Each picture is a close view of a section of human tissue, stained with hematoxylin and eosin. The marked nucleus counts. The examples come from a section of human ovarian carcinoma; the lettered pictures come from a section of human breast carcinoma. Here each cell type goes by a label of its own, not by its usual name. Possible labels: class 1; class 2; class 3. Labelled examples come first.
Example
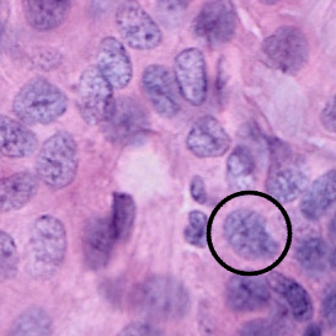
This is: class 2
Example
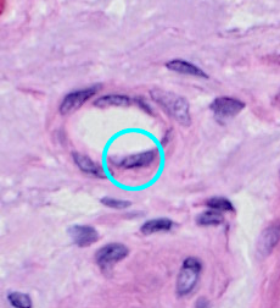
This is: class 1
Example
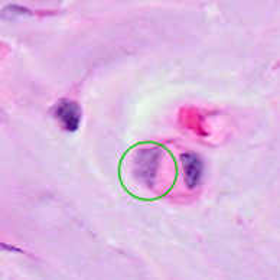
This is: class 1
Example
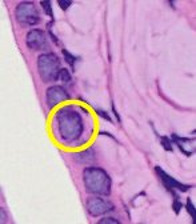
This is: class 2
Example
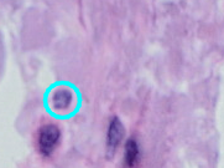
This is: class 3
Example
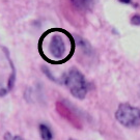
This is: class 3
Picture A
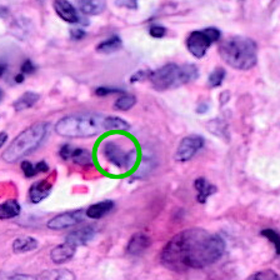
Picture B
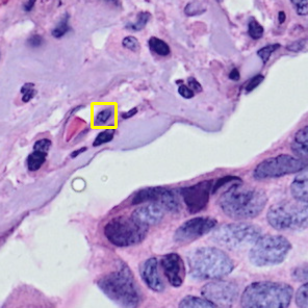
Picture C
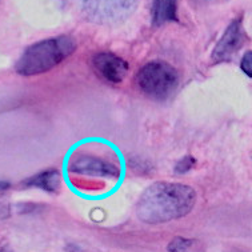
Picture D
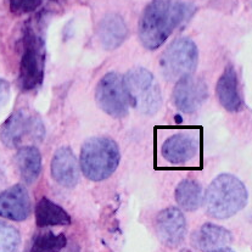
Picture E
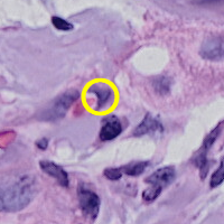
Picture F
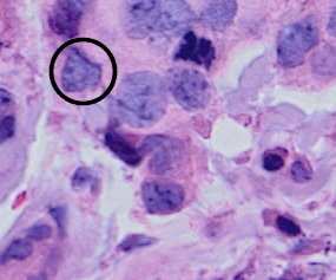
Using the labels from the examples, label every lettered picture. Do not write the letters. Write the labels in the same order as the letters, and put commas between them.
class 1, class 1, class 1, class 2, class 1, class 2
